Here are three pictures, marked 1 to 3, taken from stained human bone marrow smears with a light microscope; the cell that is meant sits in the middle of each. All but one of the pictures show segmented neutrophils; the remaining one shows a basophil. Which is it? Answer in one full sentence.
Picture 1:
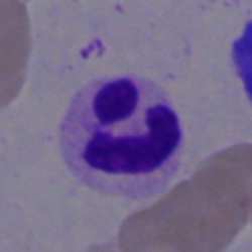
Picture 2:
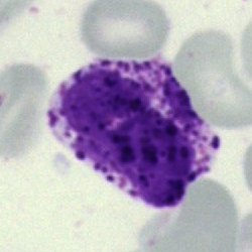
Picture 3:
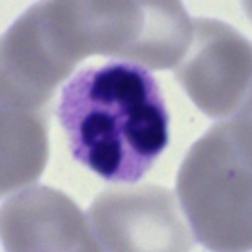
The cell in picture 2 is the basophil.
